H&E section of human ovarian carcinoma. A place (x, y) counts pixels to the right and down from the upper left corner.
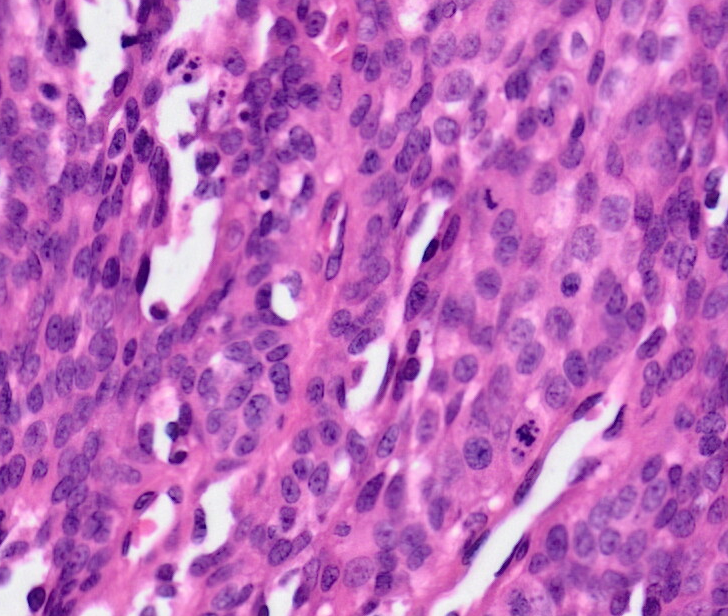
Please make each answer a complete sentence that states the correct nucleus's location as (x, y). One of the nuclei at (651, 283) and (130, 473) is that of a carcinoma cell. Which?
Assigned to a carcinoma cell is the nucleus located at (130, 473).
